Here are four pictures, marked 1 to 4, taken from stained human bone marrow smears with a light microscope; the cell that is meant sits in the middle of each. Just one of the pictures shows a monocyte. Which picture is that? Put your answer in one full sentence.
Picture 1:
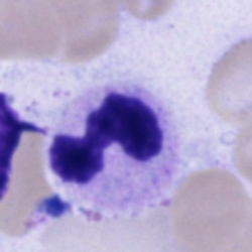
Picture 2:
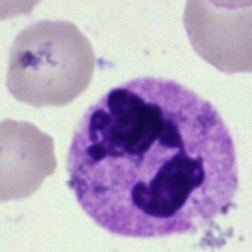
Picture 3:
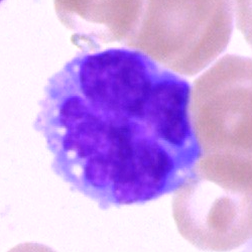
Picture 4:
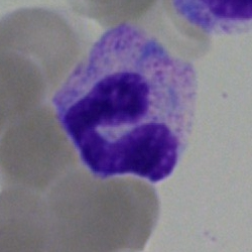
Picture 3 shows the monocyte.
